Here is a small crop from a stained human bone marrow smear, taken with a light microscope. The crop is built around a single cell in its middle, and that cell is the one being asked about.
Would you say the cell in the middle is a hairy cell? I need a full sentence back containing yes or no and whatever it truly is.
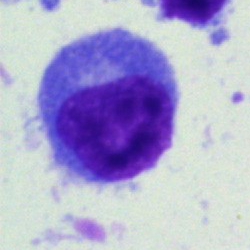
No, the centred cell is a plasma cell, and it is not a hairy cell.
